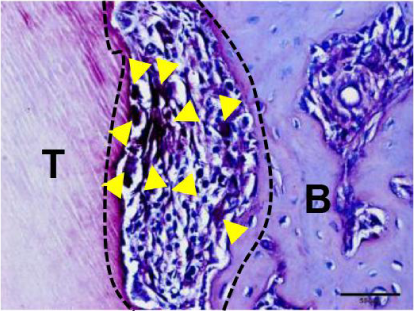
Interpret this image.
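Between a pale root on the left and pale blue bone on the right lies a wedge of densely cellular tissue outlined by dashed lines. Within it many cells stain dark purple, and several of these sit directly against the root surface, which itself has a pinkish-purple rim. Other cells in the zone are spindle-shaped with blue nuclei among loose fibres.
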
